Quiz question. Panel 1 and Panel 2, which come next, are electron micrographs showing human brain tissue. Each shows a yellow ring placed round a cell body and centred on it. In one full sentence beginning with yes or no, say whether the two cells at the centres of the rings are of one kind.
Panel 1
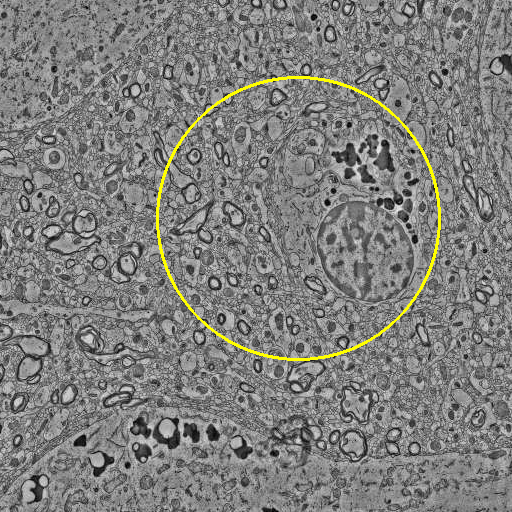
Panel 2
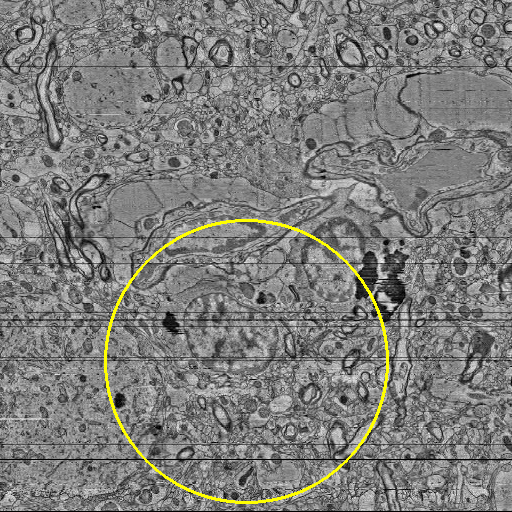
Yes, Panel 1 and Panel 2 show one kind of cell at the centre of the ring.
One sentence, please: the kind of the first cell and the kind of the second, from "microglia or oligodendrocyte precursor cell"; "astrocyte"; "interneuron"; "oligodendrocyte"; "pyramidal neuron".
In each of the two pictures, the ringed cell is an oligodendrocyte.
